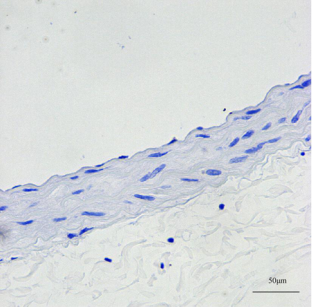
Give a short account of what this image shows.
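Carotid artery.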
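This is a thin strip of arterial wall running diagonally across the field, with the open lumen above and loose surrounding tissue below. The wall holds a few layers of elongated, spindle-shaped blue nuclei lying parallel to the wavy, pale-staining wall, in the orderly arrangement of smooth muscle cells in the vessel wall. No brown staining is seen anywhere in the section, and the wall is not thickened.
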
